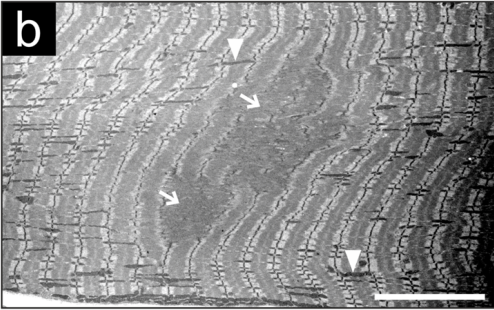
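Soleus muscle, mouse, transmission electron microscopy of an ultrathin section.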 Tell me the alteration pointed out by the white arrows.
macrolesions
